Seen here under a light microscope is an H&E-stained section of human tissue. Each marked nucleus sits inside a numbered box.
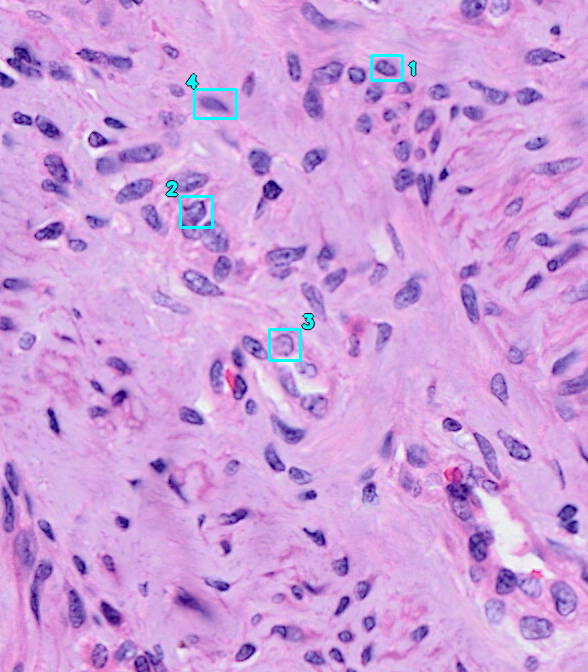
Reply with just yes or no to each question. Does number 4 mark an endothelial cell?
no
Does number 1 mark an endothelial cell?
no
